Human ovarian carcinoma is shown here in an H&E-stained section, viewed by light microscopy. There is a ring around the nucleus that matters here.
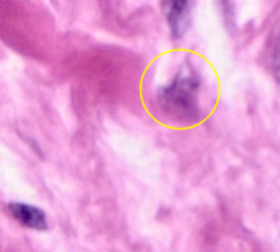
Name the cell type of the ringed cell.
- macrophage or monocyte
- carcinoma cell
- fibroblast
fibroblast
